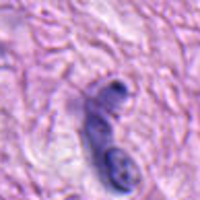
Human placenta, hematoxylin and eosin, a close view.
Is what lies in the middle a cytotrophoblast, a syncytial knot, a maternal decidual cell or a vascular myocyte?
It is a vascular myocyte.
